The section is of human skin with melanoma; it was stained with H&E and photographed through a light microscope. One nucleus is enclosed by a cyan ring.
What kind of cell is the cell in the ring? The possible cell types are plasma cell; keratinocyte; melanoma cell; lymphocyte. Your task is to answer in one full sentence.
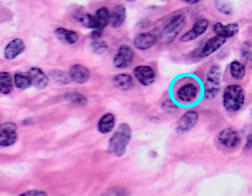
In cell-type terms, the cell in the ring is a plasma cell.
